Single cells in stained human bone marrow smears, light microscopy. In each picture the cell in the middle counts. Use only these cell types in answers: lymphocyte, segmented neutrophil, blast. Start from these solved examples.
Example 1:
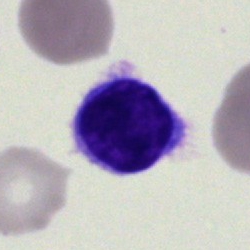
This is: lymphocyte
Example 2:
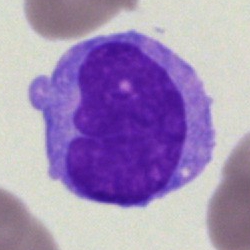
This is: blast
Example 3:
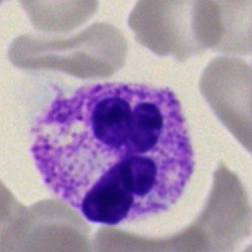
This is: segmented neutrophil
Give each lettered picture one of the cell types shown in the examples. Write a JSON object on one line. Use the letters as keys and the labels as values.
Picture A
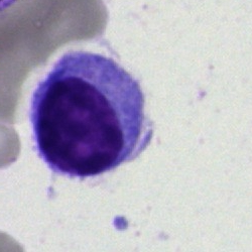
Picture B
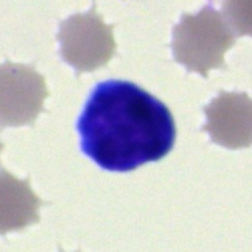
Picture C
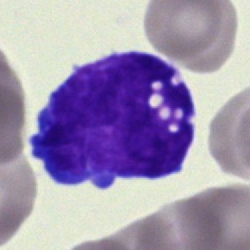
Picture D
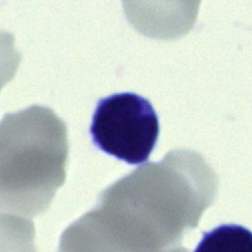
{"A": "lymphocyte", "B": "lymphocyte", "C": "blast", "D": "lymphocyte"}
